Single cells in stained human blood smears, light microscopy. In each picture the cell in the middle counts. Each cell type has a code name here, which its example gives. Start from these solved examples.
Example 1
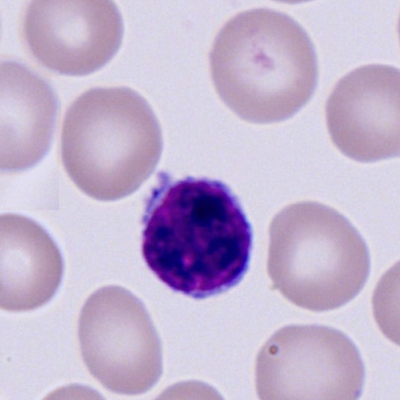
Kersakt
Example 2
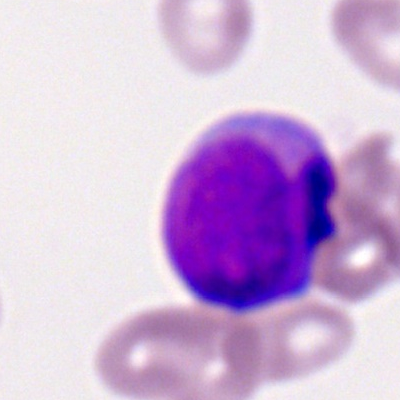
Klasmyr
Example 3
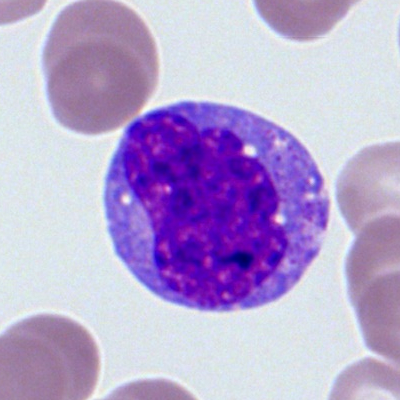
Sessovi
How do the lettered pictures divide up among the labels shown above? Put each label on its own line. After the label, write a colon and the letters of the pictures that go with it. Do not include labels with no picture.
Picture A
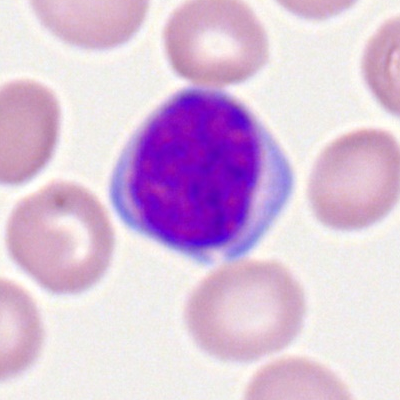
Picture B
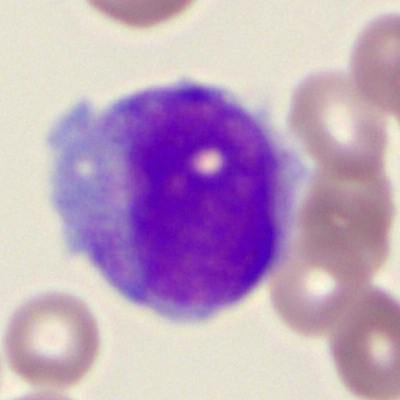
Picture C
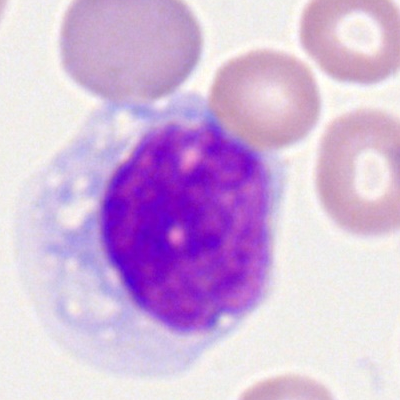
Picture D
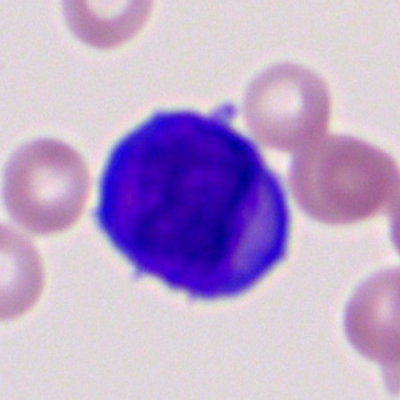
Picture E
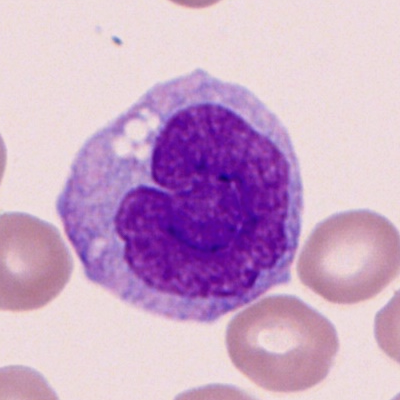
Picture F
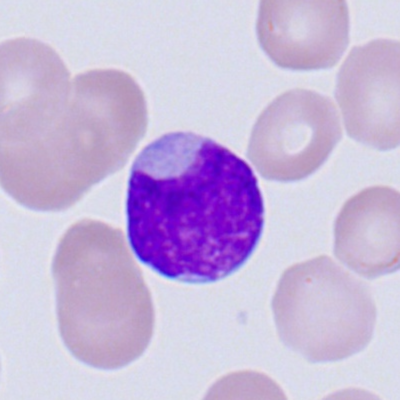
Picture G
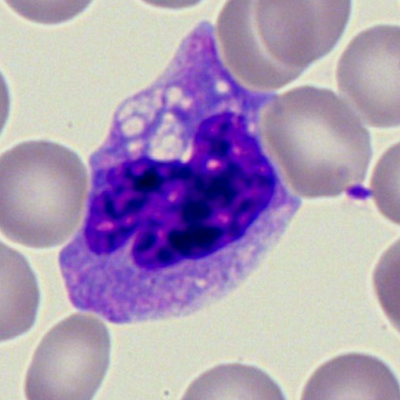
Kersakt: A
Klasmyr: B, D, F
Sessovi: C, E, G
